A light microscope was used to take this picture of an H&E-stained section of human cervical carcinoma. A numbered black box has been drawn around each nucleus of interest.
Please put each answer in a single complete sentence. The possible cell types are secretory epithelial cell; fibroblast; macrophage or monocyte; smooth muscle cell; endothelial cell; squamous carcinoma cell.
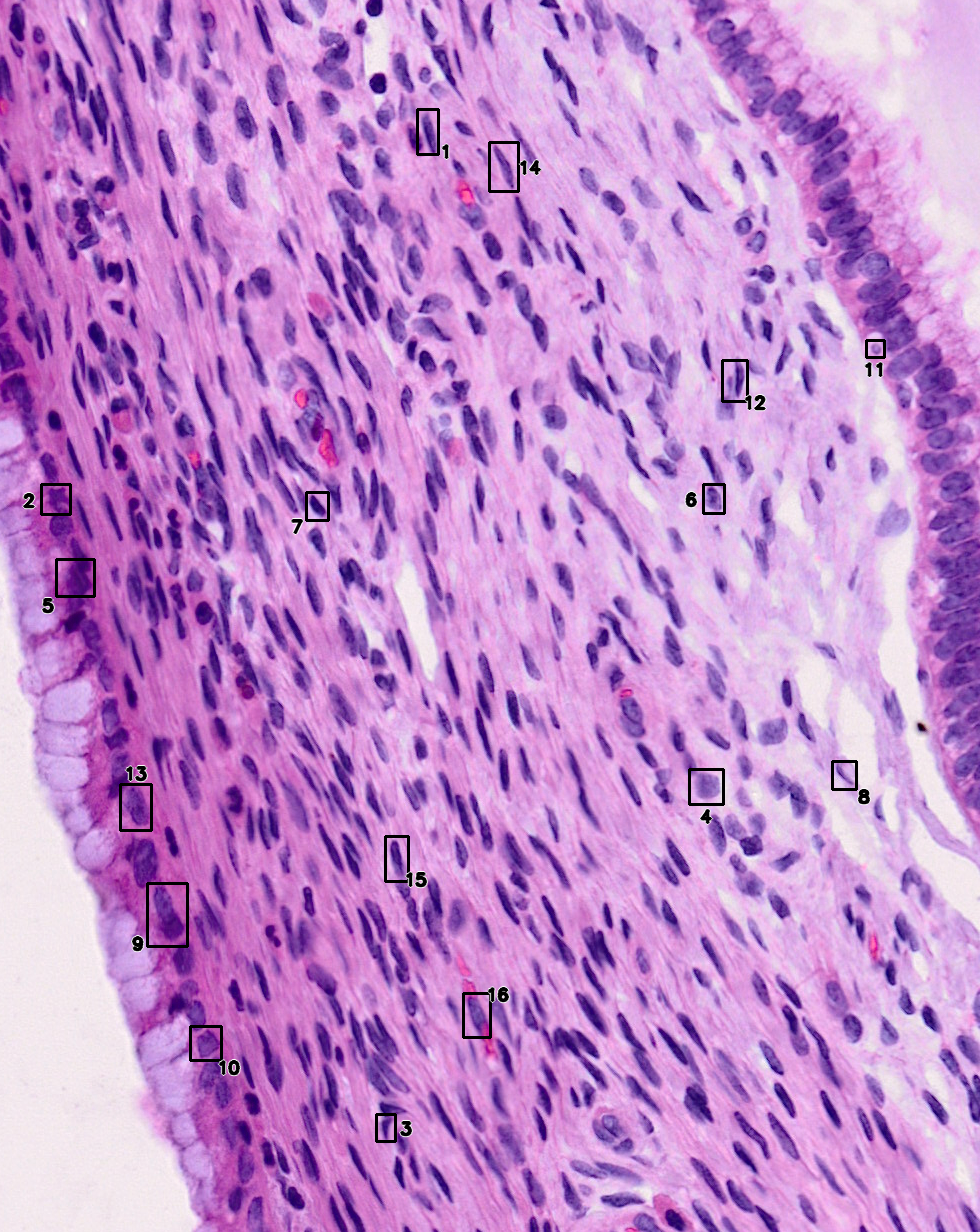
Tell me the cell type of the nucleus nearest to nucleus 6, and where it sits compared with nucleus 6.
It is a fibroblast, whose nucleus lies above nucleus 6.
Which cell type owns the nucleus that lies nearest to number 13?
Closest to number 13 lies the nucleus of a secretory epithelial cell.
